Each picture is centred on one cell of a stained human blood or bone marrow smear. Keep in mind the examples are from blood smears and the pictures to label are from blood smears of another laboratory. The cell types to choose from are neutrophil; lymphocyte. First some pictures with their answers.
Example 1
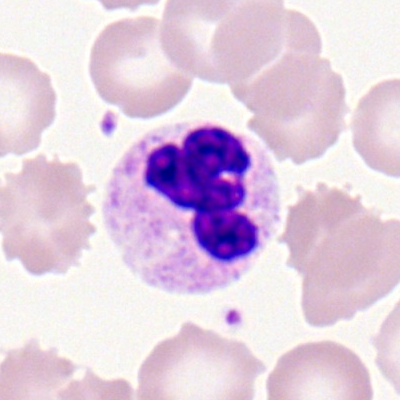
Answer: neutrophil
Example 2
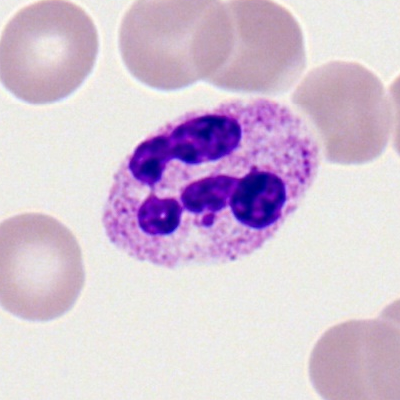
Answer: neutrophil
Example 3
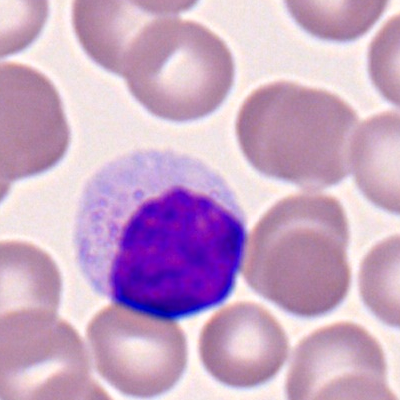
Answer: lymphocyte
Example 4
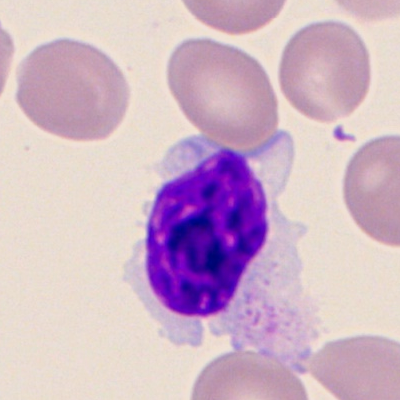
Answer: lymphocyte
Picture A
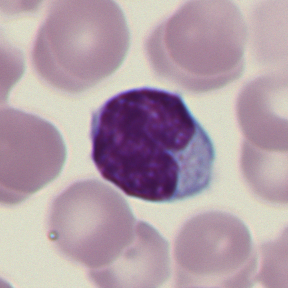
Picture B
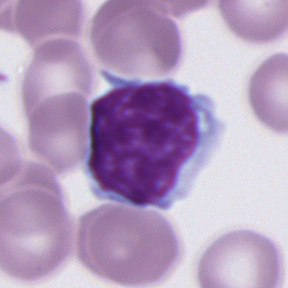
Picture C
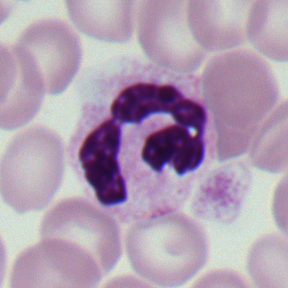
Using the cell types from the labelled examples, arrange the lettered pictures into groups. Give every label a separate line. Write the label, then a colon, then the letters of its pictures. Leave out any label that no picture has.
neutrophil: C
lymphocyte: A, B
